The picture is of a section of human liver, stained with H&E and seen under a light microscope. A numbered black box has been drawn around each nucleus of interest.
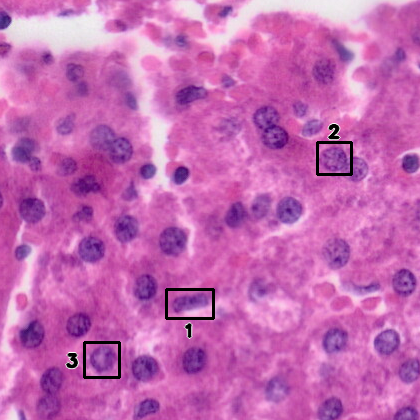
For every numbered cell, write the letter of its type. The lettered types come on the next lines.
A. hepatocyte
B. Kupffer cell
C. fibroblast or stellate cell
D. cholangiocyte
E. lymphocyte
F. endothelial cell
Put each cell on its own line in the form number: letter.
1: B
2: A
3: A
